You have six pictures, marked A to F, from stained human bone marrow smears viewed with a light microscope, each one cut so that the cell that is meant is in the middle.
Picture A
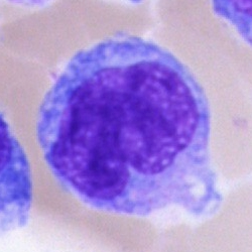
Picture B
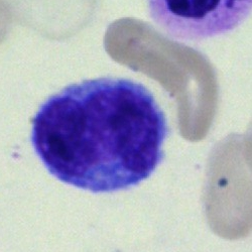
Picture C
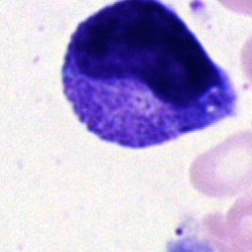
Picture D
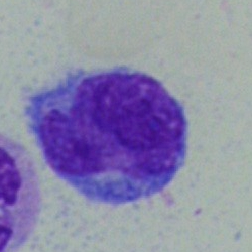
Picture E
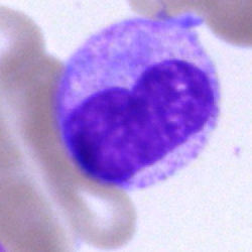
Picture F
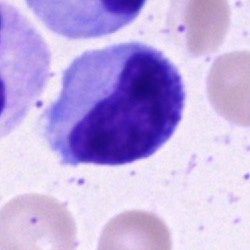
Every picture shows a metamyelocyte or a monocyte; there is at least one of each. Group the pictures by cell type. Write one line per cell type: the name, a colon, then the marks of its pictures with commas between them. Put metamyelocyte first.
metamyelocyte: C, E, F
monocyte: A, B, D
